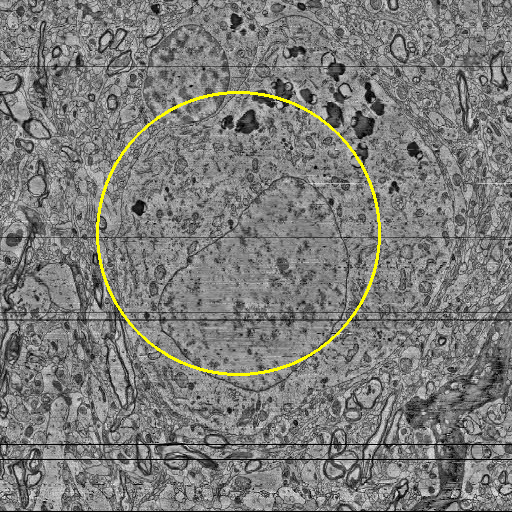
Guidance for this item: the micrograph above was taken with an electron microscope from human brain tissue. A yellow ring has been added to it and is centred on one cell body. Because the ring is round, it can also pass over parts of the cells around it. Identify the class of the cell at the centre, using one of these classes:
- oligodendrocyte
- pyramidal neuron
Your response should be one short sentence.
The ring surrounds the body of a pyramidal neuron.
